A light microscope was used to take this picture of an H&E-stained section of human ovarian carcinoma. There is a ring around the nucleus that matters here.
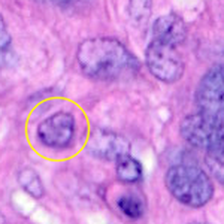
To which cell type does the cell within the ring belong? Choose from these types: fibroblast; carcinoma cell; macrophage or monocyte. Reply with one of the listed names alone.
macrophage or monocyte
